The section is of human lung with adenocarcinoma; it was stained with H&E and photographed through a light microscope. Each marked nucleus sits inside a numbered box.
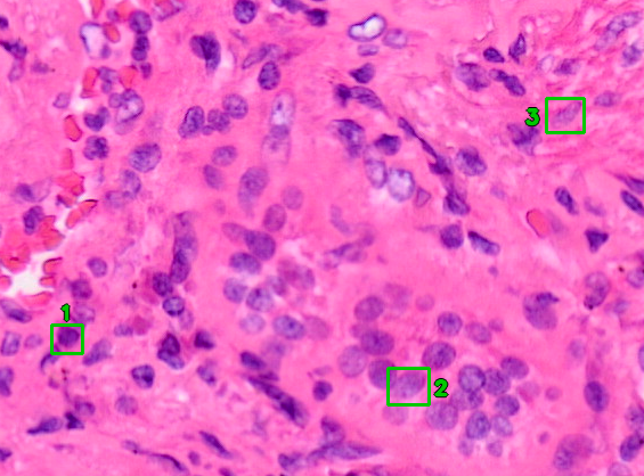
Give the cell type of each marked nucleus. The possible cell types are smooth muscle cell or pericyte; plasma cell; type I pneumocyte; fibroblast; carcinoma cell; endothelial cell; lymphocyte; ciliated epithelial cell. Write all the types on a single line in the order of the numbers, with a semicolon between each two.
plasma cell; ciliated epithelial cell; smooth muscle cell or pericyte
